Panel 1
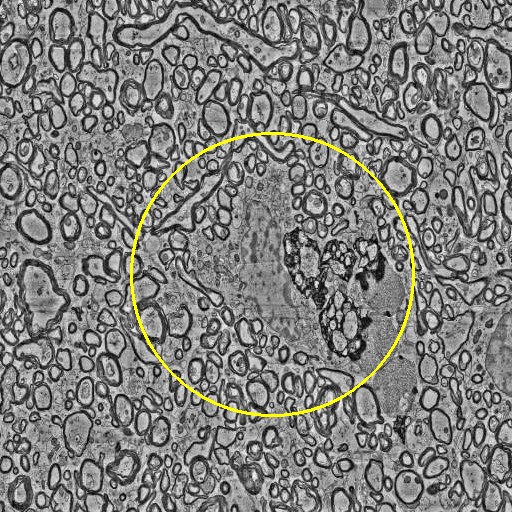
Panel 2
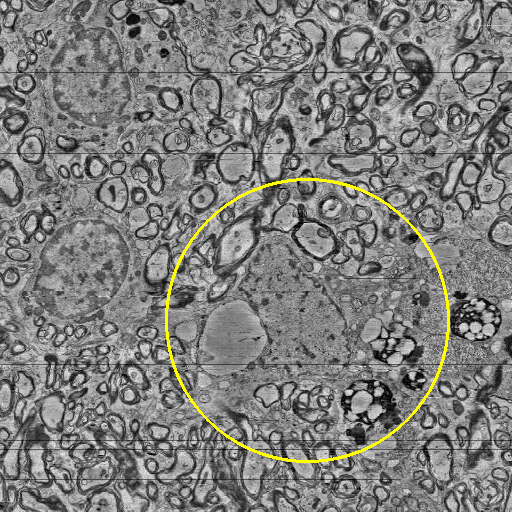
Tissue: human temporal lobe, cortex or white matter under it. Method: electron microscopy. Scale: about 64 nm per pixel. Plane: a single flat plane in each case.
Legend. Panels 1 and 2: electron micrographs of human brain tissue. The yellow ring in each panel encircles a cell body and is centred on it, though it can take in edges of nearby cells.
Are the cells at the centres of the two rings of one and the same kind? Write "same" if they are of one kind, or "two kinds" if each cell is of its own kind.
same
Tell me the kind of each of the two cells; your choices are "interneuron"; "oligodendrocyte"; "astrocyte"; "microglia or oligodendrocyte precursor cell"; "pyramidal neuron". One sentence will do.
Each of the two cells is an astrocyte.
